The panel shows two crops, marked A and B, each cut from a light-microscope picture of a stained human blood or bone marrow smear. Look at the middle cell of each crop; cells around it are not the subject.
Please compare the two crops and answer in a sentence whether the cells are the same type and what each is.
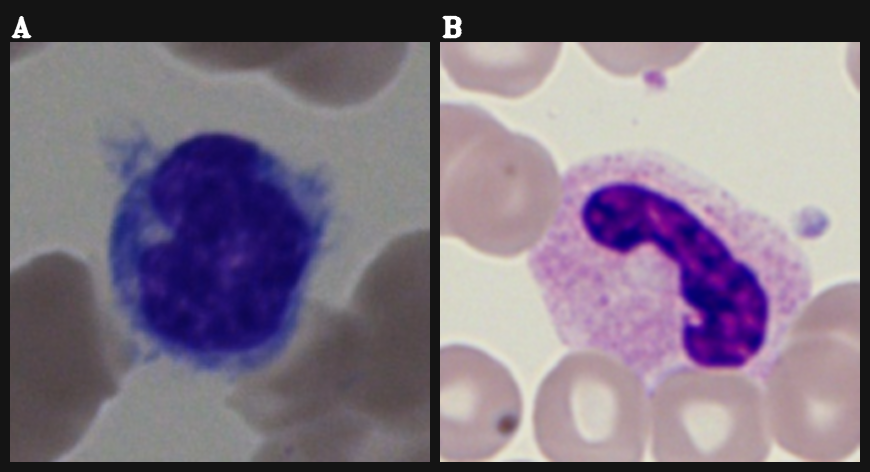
No, crop A depicts a monocyte, and crop B depicts a band neutrophil.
